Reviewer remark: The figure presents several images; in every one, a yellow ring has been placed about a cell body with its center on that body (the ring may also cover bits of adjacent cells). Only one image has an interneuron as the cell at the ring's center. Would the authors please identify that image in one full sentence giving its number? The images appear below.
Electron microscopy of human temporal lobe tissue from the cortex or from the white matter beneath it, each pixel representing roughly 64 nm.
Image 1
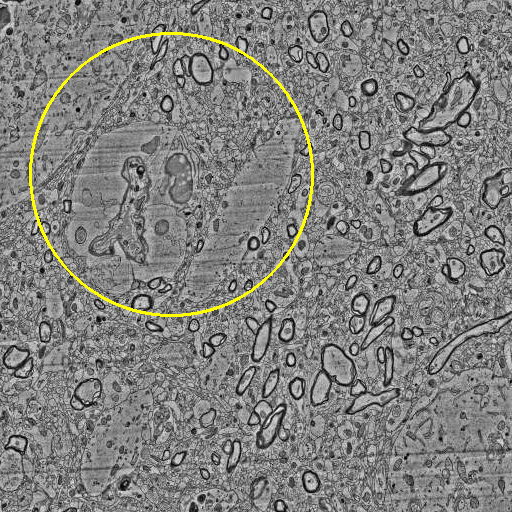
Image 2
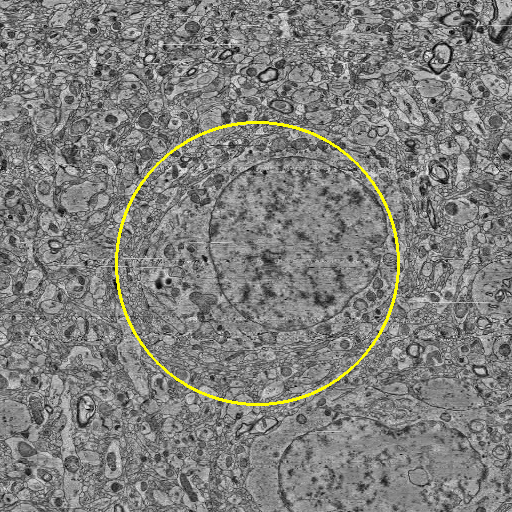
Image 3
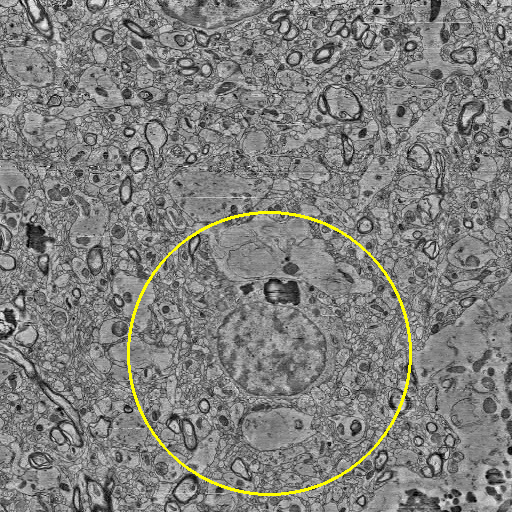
The ring's central cell in image 2 is the one the question describes.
